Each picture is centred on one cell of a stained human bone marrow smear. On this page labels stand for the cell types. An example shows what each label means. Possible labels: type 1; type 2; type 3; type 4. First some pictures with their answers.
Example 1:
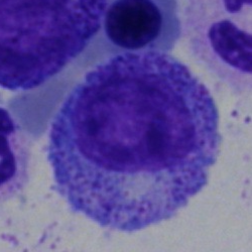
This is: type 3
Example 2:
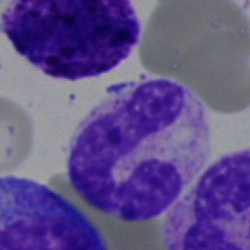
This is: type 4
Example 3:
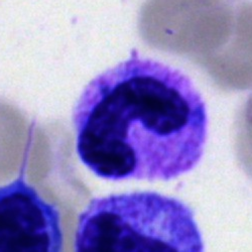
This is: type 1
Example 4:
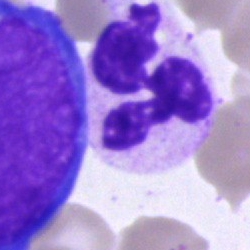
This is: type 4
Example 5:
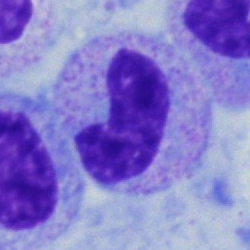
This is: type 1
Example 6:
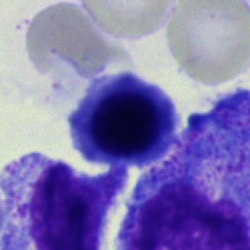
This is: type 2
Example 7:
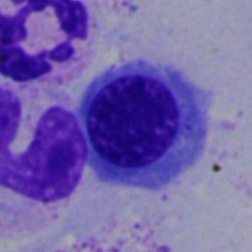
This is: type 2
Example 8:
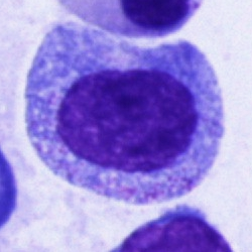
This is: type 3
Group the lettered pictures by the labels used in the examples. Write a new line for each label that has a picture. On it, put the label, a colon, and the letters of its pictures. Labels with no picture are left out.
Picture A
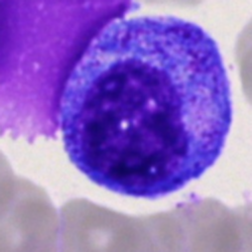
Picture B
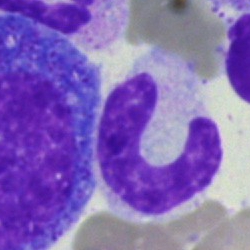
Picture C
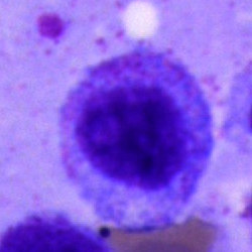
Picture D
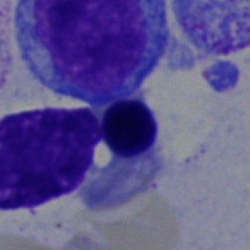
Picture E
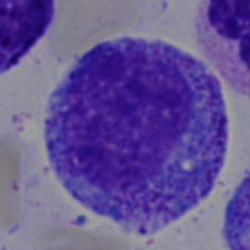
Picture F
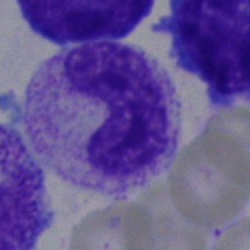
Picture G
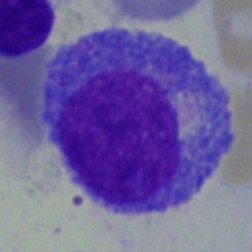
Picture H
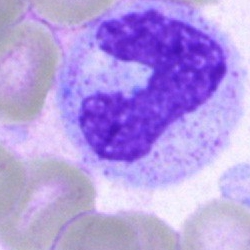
type 1: B, F, H
type 2: D
type 3: A, C, E, G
